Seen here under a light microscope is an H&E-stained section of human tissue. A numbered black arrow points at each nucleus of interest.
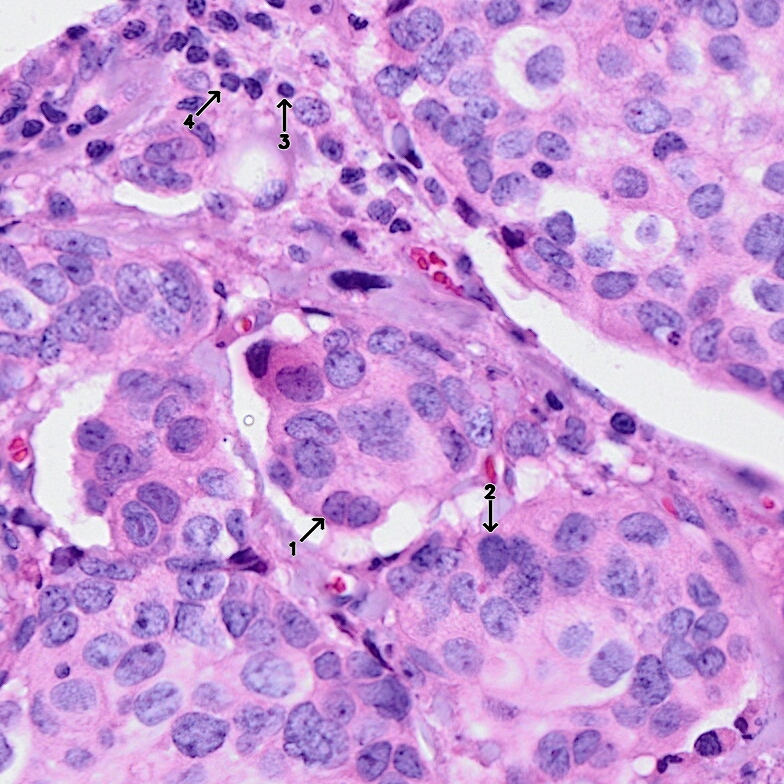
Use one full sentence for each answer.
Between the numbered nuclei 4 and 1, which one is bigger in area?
Nucleus 1 is larger, with an area about 1.5 times that of nucleus 4.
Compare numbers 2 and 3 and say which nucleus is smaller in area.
It is nucleus 3; nucleus 2 has about 3 times its area.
